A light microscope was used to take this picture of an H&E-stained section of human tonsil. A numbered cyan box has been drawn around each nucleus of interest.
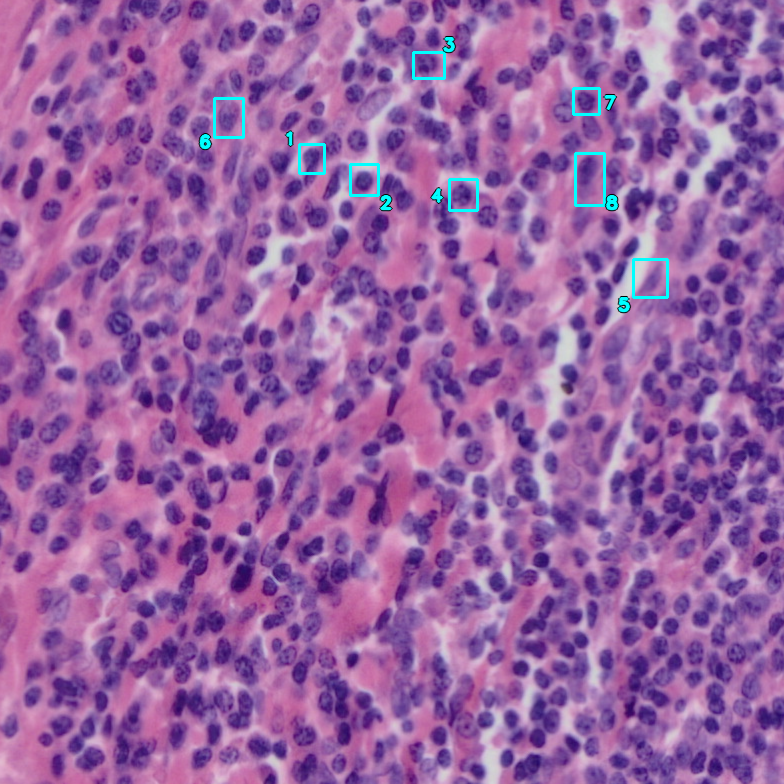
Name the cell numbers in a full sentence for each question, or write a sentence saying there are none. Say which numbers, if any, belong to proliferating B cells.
Sorry, but none of the numbered cells are proliferating B cells.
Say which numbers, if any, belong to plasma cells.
The cells numbered 1, 2, 3, 4 and 7 are of one kind: plasma cells.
